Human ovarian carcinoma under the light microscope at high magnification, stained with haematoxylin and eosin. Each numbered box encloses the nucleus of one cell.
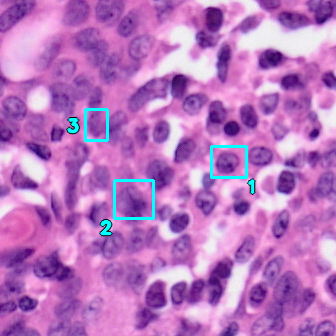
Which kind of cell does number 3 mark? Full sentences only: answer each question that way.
The cell bearing label 3 corresponds to a carcinoma cell.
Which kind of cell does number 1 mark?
Belonging to a macrophage or monocyte is the nucleus that carries the number 1.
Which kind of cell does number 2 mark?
Here, the cell given the number 2 is a carcinoma cell.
